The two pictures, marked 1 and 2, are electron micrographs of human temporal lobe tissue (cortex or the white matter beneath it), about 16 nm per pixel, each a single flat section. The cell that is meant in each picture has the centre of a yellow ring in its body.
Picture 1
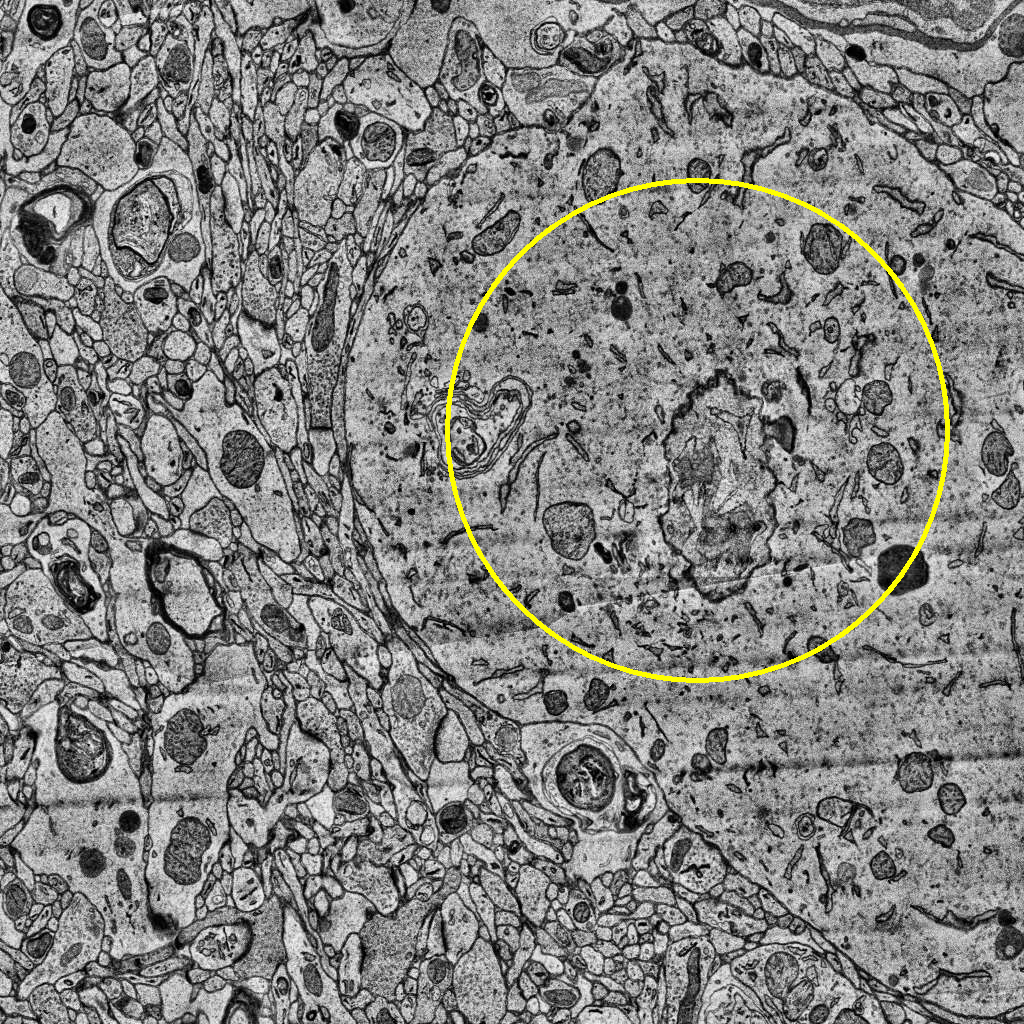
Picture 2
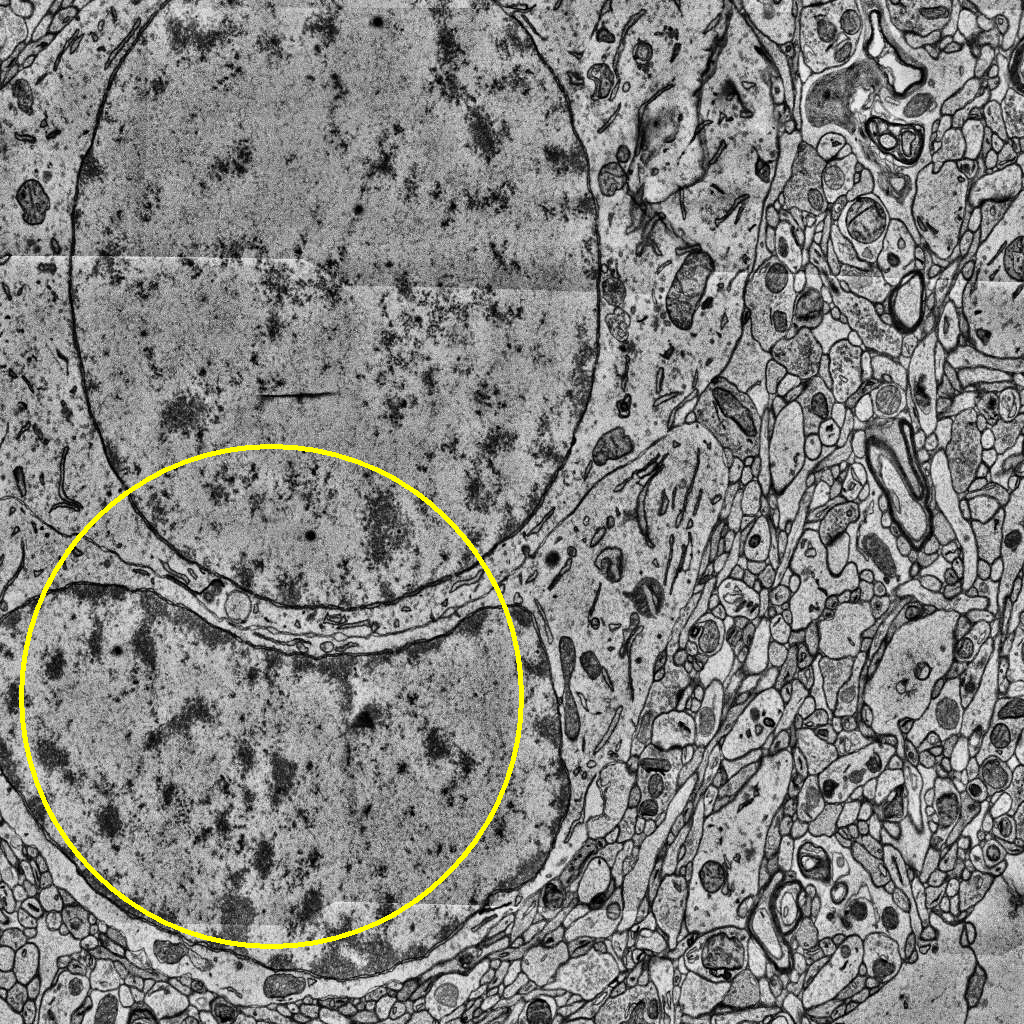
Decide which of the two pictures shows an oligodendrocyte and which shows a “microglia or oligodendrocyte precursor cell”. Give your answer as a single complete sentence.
It is picture 1 that shows an oligodendrocyte, and picture 2 that shows a “microglia or oligodendrocyte precursor cell”.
